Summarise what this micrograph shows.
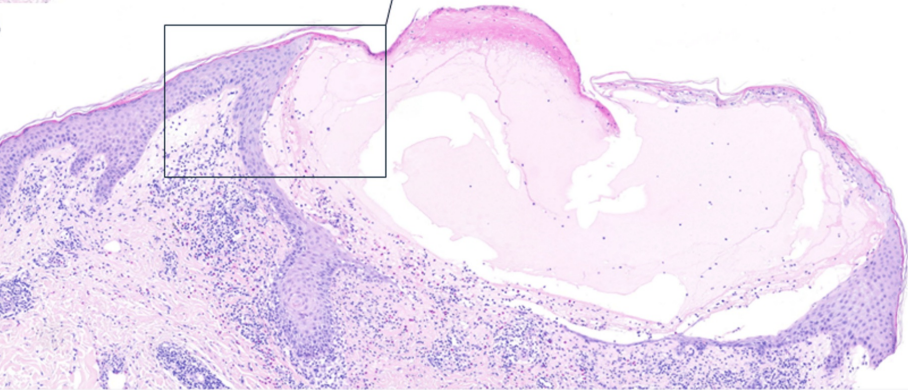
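Here we see skin with a large blister lying inside the epidermis, just below the pink cornified layer, which forms its roof. In the upper dermis beneath, dense clusters of small dark nuclei gather around vessels and spread diffusely under the epidermis, while the dermis itself looks pale and loose. Deeper, the dermis shows more compact pink collagen.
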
